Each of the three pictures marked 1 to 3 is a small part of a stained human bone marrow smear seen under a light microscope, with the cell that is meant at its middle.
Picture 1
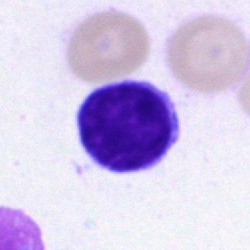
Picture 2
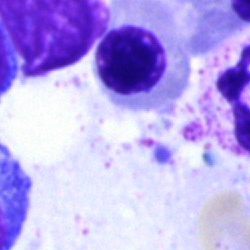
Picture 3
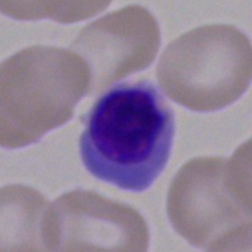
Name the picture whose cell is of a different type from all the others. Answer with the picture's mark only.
1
